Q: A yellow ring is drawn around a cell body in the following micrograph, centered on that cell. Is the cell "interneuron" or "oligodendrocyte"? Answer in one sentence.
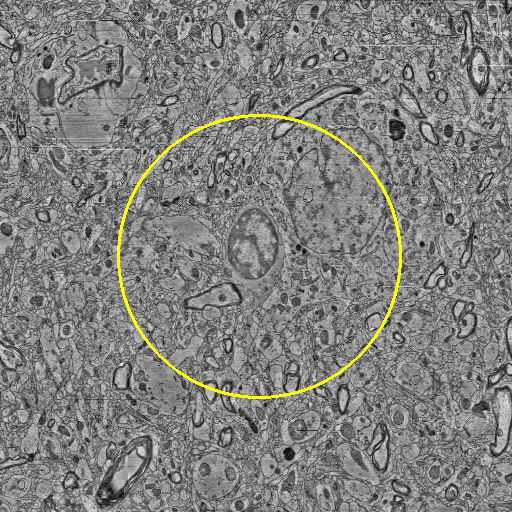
The cell in the center of the ring is an oligodendrocyte.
